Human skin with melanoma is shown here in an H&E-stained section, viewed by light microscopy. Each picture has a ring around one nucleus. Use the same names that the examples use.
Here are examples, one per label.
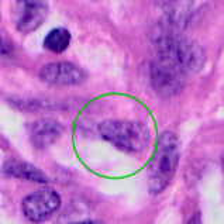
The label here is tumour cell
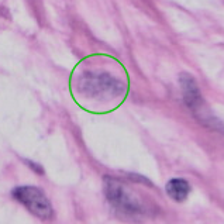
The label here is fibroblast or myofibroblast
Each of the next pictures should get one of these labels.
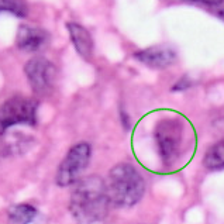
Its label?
tumour cell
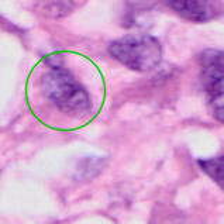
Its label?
tumour cell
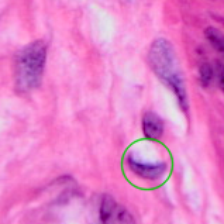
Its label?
fibroblast or myofibroblast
